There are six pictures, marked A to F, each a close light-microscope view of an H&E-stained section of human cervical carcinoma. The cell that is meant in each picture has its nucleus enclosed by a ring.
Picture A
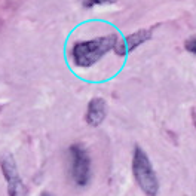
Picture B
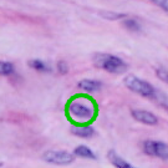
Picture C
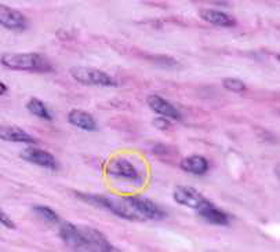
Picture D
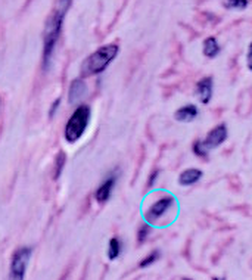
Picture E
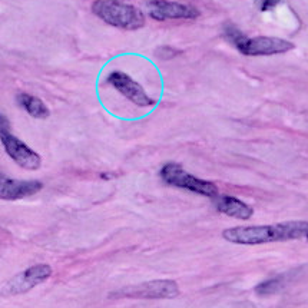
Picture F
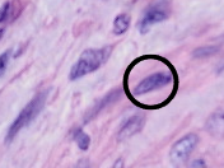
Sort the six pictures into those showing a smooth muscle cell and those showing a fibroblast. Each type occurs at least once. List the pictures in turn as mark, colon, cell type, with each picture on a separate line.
A: fibroblast
B: smooth muscle cell
C: smooth muscle cell
D: smooth muscle cell
E: fibroblast
F: smooth muscle cell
